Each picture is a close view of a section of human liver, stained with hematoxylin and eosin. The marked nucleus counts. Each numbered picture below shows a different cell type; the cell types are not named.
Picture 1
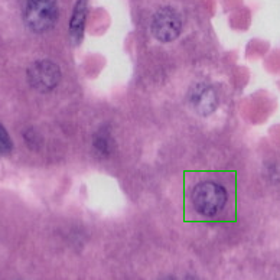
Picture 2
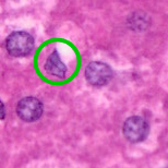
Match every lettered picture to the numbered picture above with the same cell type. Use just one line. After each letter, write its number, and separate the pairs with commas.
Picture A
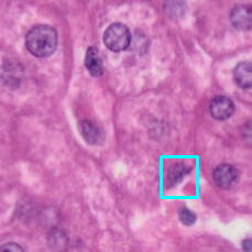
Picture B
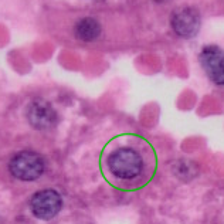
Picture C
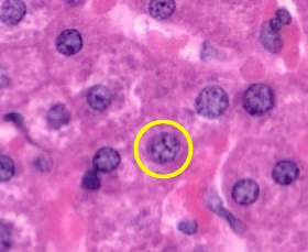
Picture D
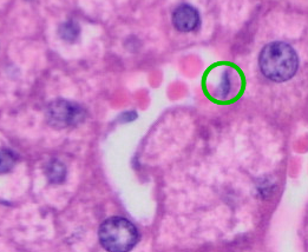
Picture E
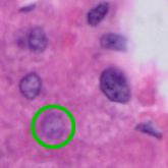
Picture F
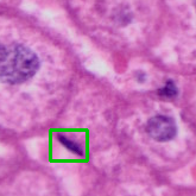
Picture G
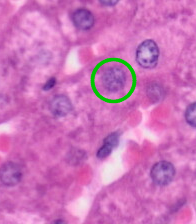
A 2, B 1, C 1, D 2, E 1, F 2, G 1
